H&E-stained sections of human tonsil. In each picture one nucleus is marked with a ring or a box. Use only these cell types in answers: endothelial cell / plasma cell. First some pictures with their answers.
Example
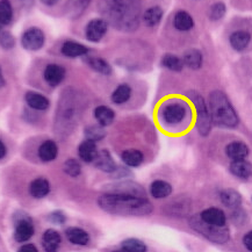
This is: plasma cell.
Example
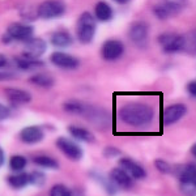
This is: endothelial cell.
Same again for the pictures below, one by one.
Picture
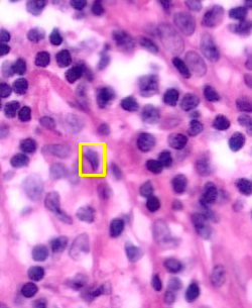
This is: endothelial cell.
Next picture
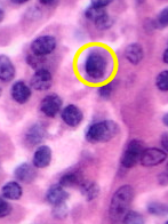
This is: plasma cell.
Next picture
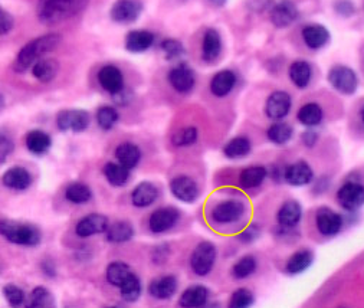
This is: plasma cell.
